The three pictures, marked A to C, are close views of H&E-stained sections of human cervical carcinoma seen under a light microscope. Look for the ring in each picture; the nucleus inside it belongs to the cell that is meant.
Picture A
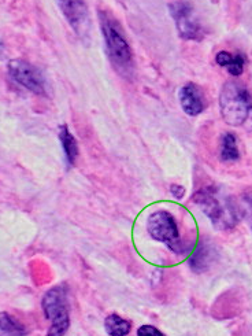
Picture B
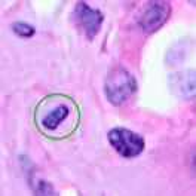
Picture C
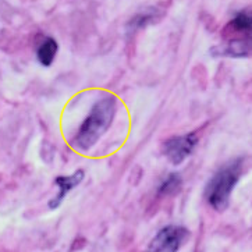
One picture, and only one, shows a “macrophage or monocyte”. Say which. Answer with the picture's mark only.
A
